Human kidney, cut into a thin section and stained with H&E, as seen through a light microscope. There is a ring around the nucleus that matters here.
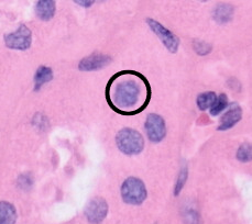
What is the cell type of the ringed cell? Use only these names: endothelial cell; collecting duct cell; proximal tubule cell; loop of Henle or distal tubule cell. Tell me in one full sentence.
The category to which the ringed cell belongs is that of a loop of Henle or distal tubule cell.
